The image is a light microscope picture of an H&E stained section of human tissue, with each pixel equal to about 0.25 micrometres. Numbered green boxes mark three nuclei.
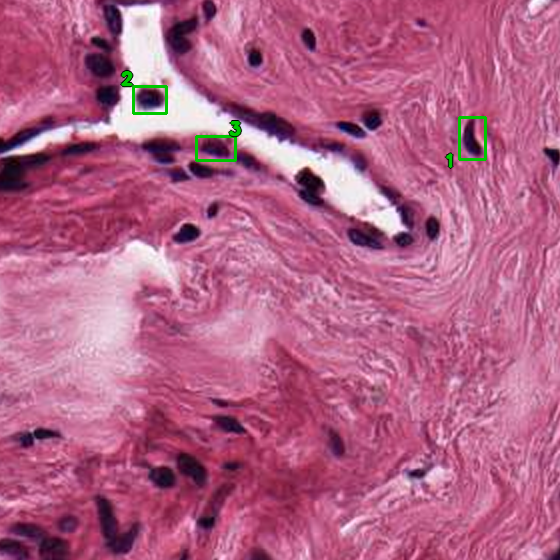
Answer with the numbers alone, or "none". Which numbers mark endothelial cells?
3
